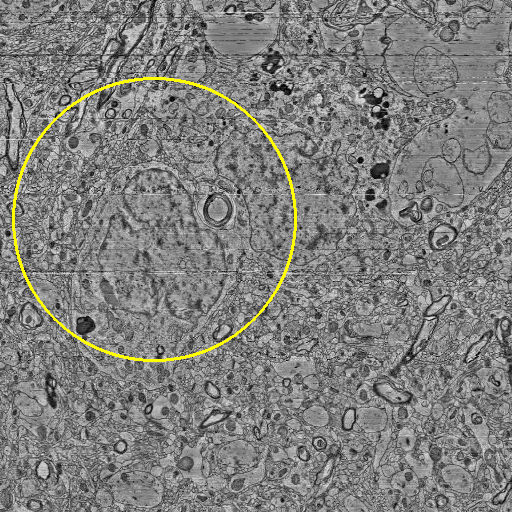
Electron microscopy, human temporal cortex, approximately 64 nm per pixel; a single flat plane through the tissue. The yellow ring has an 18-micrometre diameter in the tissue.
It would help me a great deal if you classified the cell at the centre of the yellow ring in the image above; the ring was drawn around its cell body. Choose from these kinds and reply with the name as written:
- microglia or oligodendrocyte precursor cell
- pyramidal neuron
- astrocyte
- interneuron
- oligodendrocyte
interneuron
